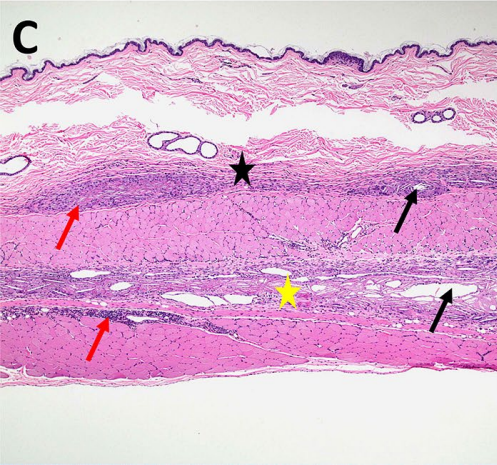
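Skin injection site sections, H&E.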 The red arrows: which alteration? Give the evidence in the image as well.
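Necrosis/inflammation. Dense purple bands of packed nuclei. Bands run between dermis and muscle layers.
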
